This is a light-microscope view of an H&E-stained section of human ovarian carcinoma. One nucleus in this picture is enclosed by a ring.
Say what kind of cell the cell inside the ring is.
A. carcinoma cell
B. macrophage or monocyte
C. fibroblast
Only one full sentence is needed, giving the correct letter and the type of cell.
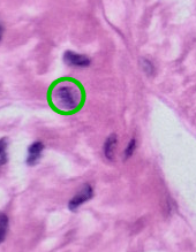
Option C correctly labels the cell inside the ring as a fibroblast.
